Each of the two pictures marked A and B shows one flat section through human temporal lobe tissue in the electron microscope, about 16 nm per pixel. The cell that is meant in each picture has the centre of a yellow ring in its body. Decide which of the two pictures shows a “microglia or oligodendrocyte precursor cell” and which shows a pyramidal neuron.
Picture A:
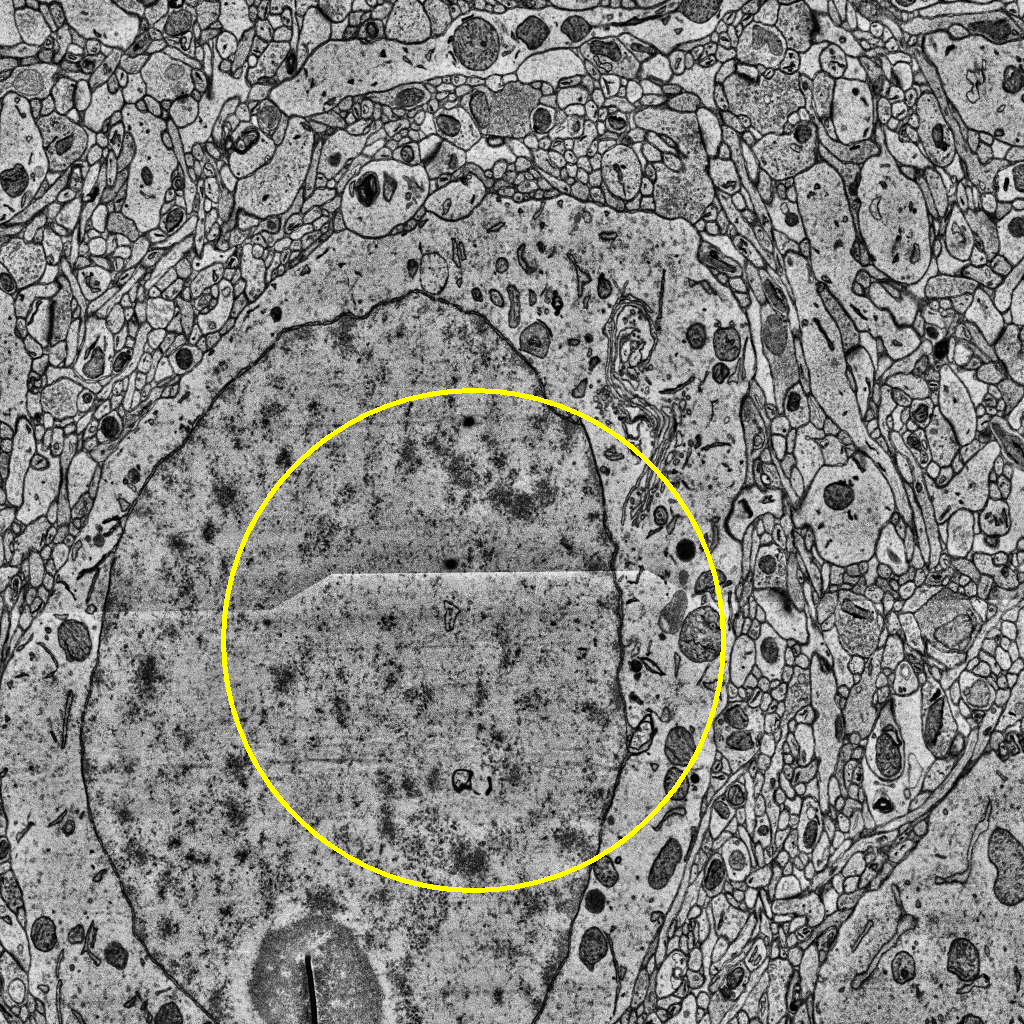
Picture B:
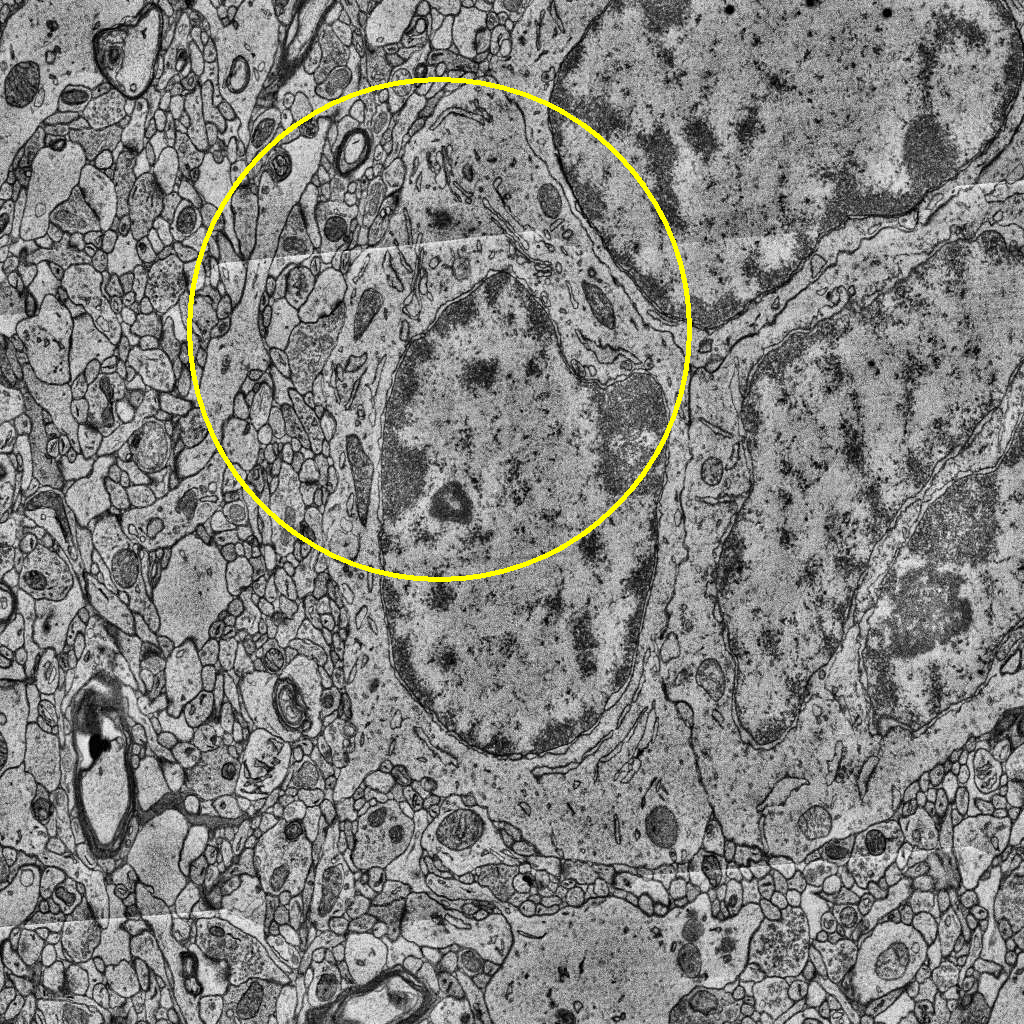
It is picture A that shows a pyramidal neuron, and picture B that shows a “microglia or oligodendrocyte precursor cell”.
